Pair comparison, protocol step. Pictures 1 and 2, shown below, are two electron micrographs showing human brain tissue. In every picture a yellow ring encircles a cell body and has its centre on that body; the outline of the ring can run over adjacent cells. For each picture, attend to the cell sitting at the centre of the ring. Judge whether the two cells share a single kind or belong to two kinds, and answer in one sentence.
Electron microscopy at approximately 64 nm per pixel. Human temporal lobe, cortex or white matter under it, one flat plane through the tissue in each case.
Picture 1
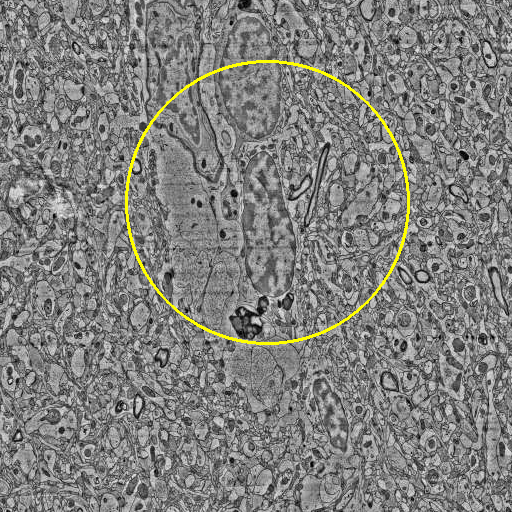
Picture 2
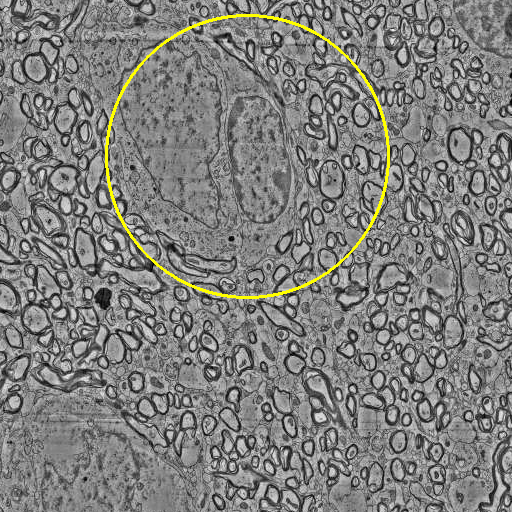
The two cells at the ring centres in Picture 1 and Picture 2 share a single kind.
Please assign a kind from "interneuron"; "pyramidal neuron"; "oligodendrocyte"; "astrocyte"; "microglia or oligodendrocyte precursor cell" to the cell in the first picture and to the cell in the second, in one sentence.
Both rings mark a microglial cell or oligodendrocyte precursor cell, one in each picture.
